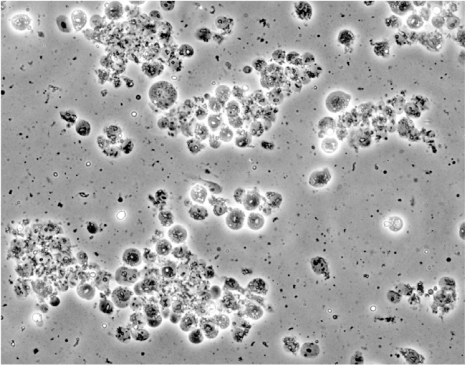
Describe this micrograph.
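Most cells have lost a flat, spread shape and appear rounded, with bright refractile rims. The interiors of many cells look granular and dark. Small dark particles of debris are scattered over the background between the clumps.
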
